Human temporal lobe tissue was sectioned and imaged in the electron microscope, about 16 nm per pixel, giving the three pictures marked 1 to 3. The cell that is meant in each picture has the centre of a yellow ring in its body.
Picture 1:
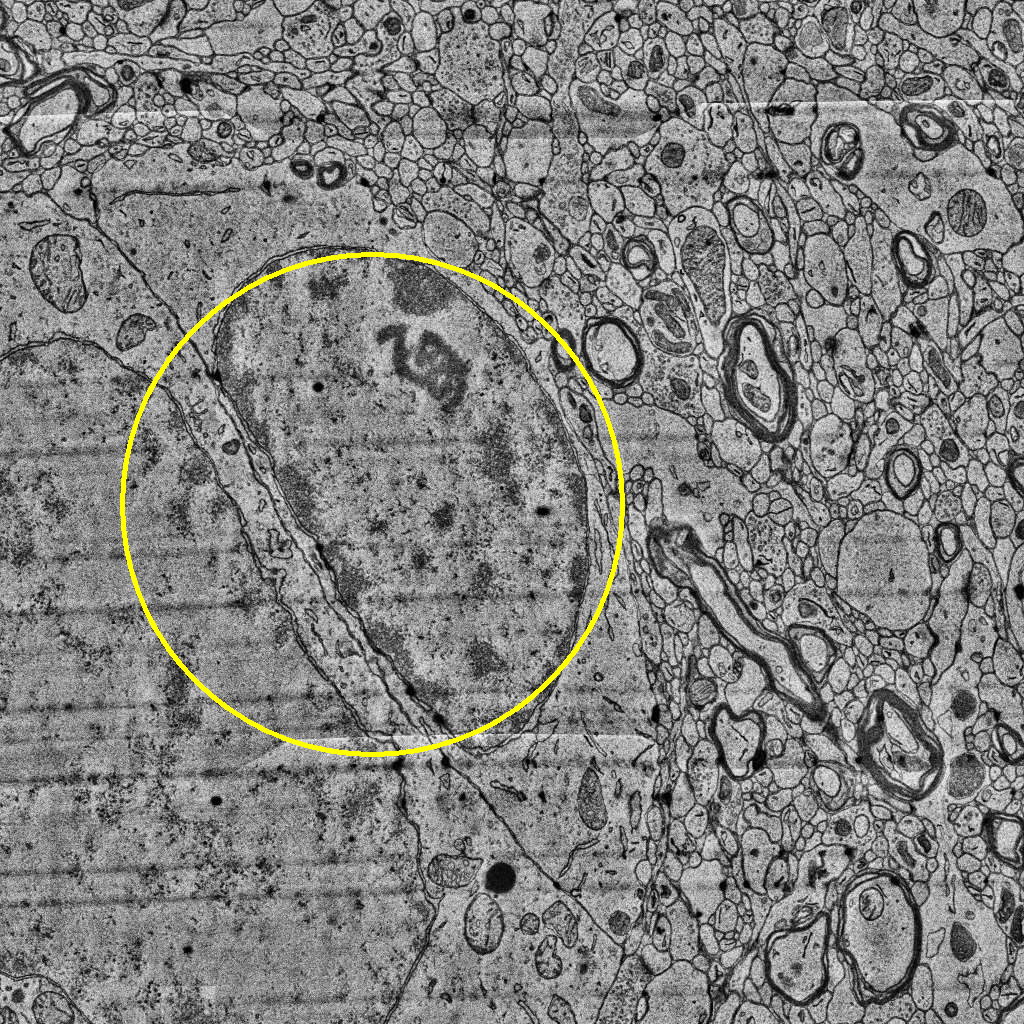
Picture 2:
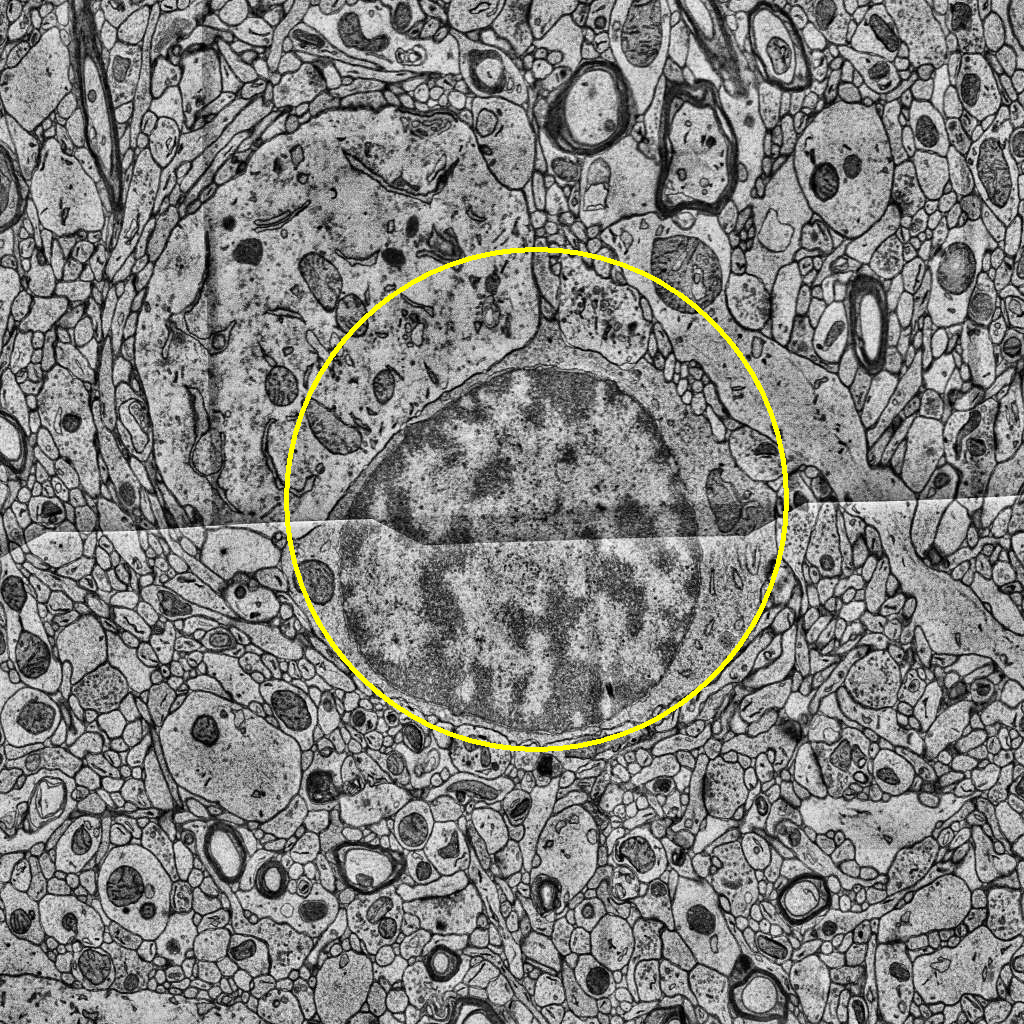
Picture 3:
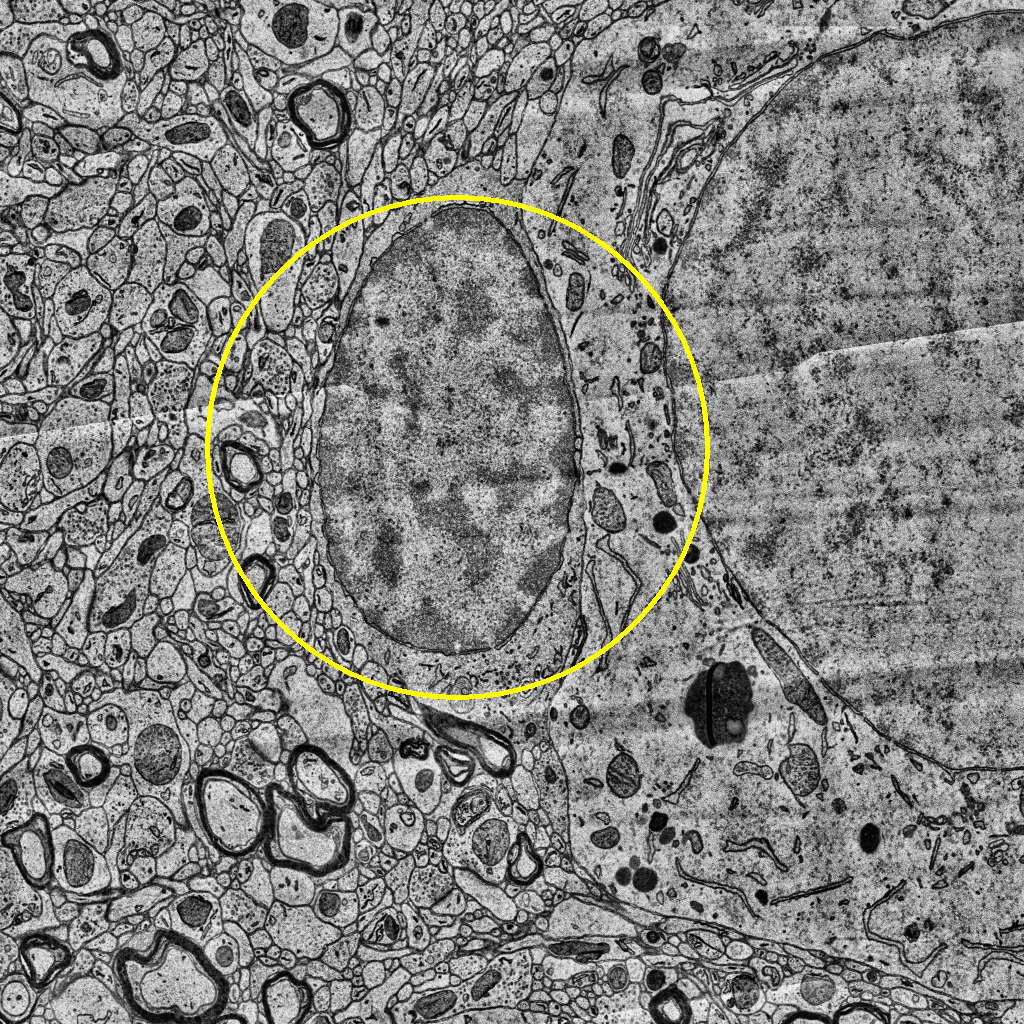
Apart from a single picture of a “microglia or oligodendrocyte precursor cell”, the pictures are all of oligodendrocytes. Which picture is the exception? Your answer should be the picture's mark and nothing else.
1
